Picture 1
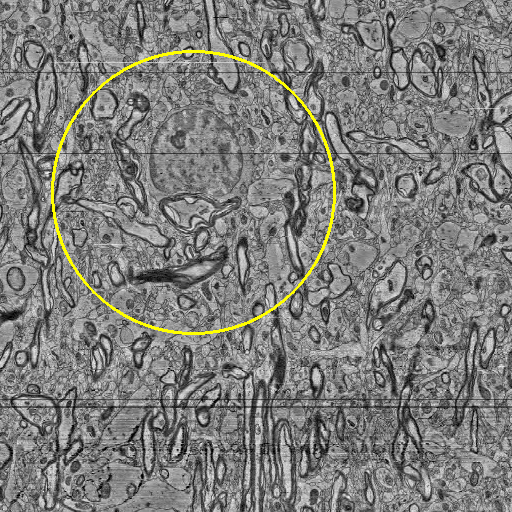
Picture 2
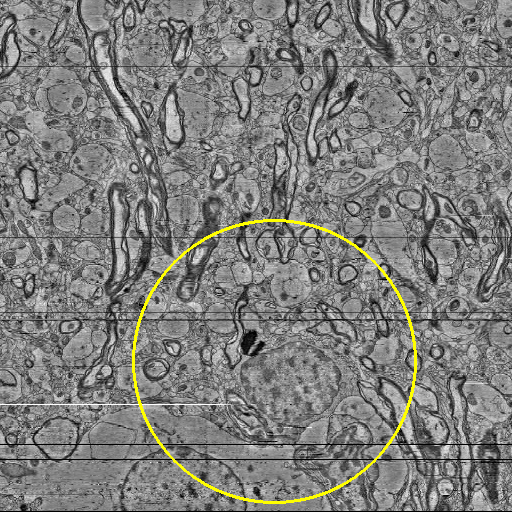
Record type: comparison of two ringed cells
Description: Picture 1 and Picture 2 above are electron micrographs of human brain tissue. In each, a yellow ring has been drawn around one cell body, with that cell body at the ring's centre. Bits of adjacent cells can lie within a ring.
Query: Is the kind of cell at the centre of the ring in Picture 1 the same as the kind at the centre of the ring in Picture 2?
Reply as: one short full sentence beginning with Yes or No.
Yes, the two ringed cells are of the same kind.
